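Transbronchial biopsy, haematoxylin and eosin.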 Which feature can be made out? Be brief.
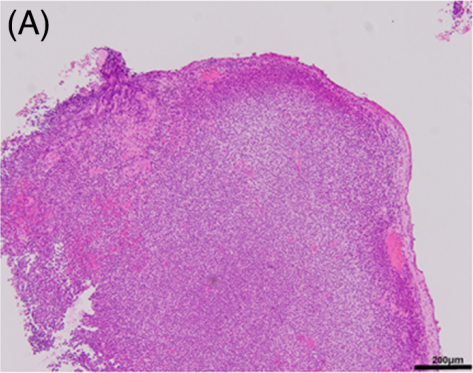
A: indistinct follicular structure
